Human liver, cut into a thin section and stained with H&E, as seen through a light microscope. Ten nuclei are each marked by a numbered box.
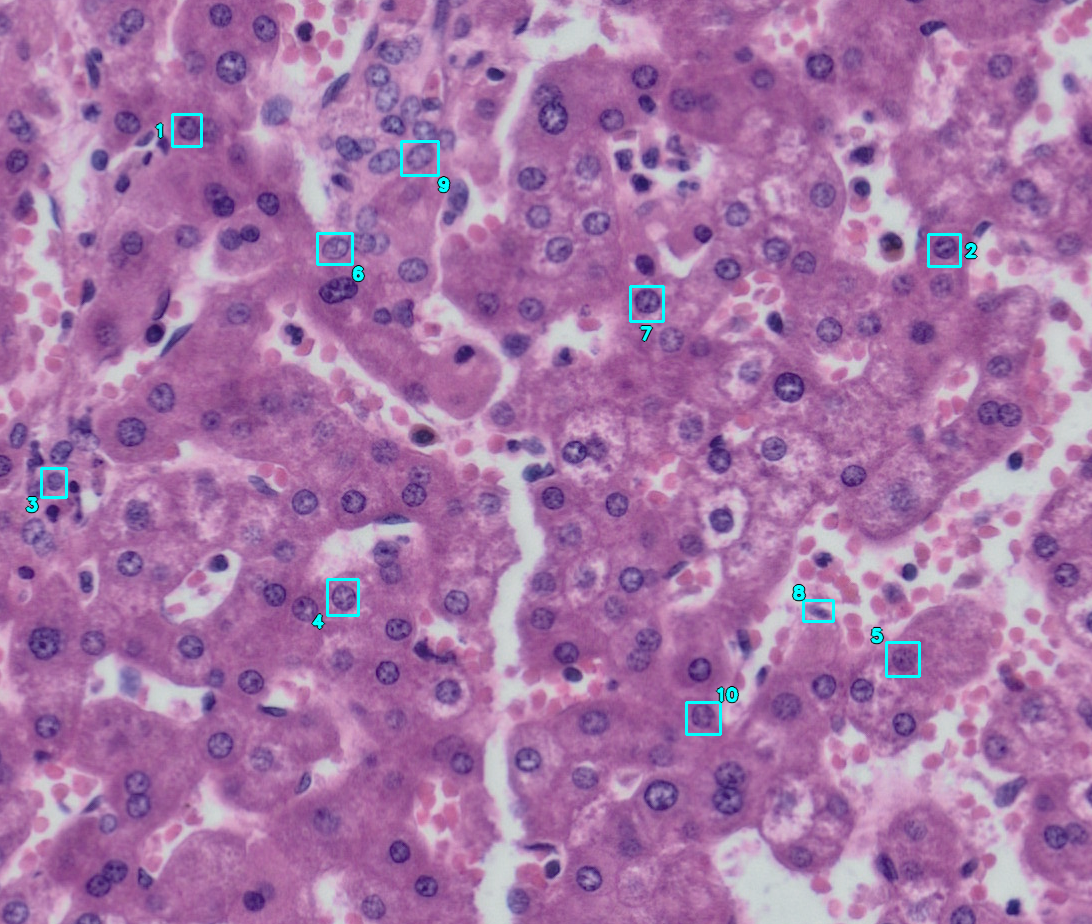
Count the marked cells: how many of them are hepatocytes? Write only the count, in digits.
6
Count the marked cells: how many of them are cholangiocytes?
3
